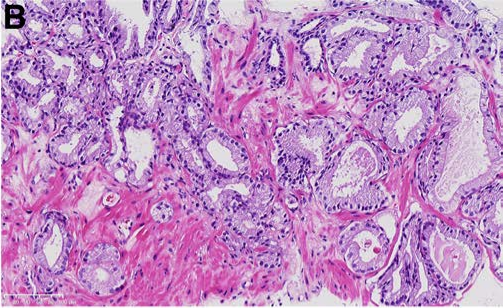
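This is a glandular tumor made of many small glandular cavities crowded together in bright pink fibrous stroma. Some lumens hold pale pink secretions.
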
